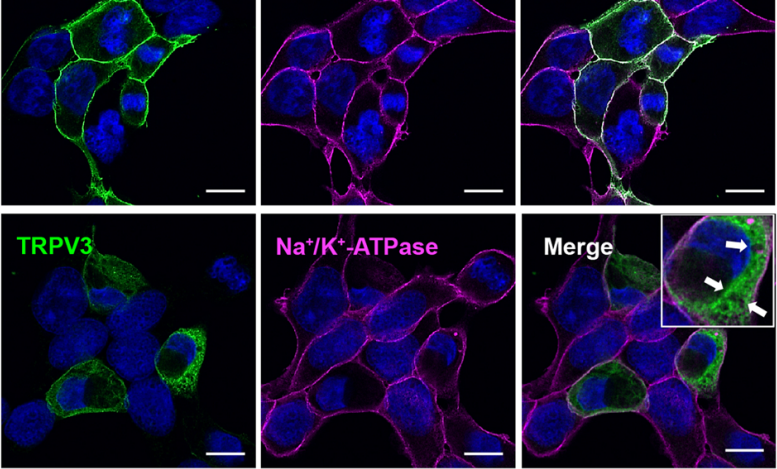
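These are clusters of cultured cells with large, round to oval blue nuclei that fill much of each cell, and thin magenta outlines marking the cell membranes. In the upper row, the green label lines the cell borders as sharp rims that coincide with the magenta membrane outline, appearing whitish where they overlap in the merged image. Some green also lies faintly within the cytoplasm of these cells. In the lower row, the green label in the labelled cells is instead spread through the cytoplasm around the nucleus, with little sharp rim at the cell border.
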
